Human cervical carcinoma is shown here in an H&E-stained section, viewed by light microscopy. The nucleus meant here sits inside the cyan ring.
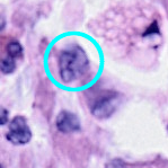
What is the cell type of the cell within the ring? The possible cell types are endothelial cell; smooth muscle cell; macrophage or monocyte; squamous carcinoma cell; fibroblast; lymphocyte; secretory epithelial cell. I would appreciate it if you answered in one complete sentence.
Cell type answer for this item: the cell within the ring is a macrophage or monocyte.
